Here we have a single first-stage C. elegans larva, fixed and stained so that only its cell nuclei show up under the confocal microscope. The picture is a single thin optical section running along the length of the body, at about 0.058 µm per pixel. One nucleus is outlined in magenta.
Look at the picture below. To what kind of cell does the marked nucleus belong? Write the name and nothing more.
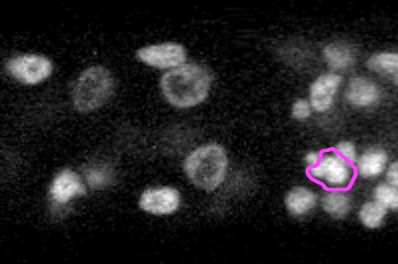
valve cell of the gut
